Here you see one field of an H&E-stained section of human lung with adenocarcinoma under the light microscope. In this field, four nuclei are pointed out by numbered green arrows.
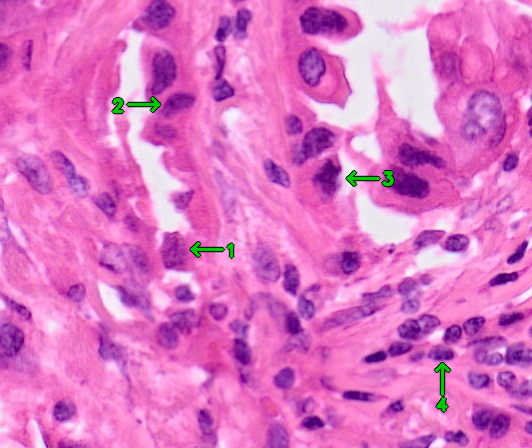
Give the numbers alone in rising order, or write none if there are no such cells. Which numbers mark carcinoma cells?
1, 2, 3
